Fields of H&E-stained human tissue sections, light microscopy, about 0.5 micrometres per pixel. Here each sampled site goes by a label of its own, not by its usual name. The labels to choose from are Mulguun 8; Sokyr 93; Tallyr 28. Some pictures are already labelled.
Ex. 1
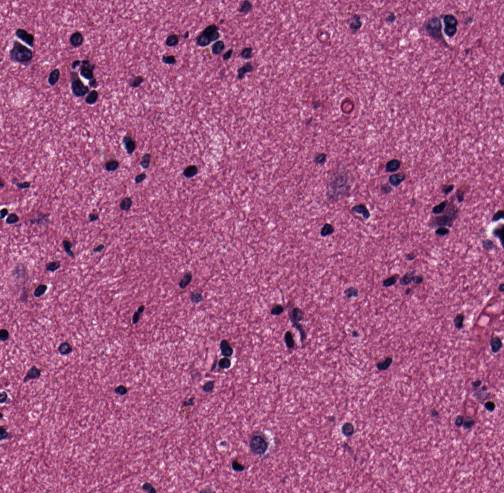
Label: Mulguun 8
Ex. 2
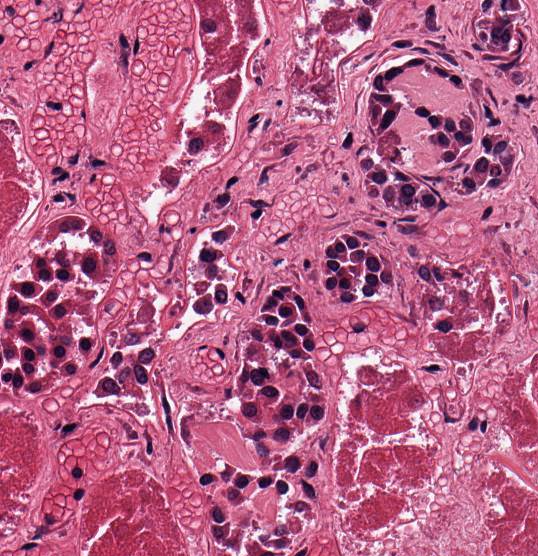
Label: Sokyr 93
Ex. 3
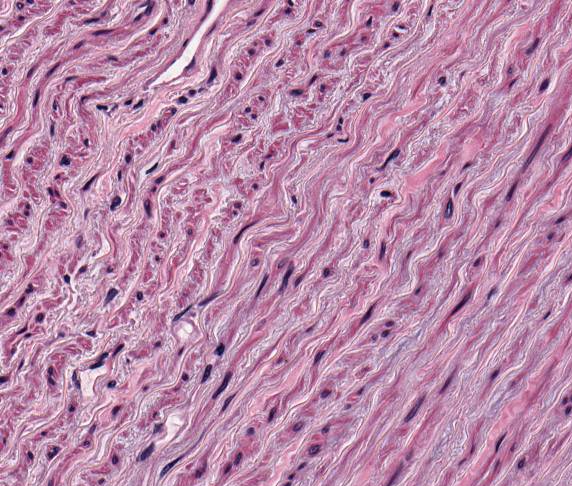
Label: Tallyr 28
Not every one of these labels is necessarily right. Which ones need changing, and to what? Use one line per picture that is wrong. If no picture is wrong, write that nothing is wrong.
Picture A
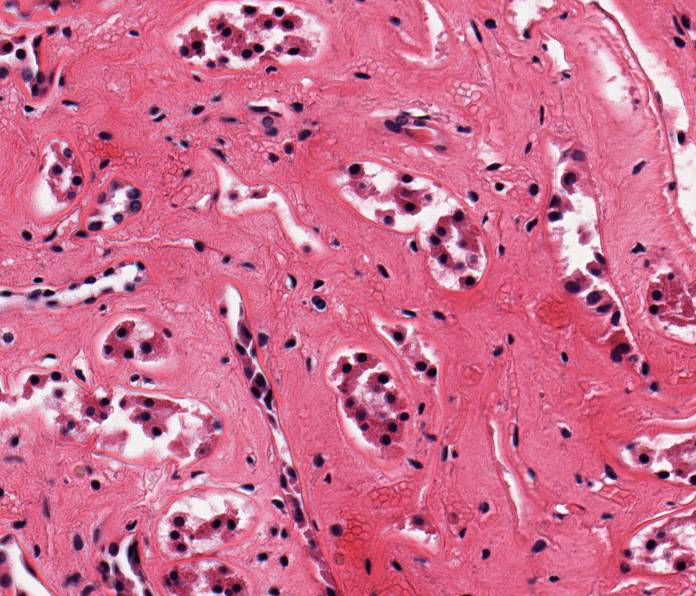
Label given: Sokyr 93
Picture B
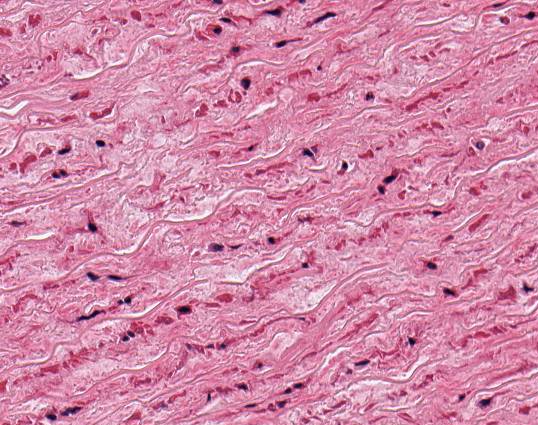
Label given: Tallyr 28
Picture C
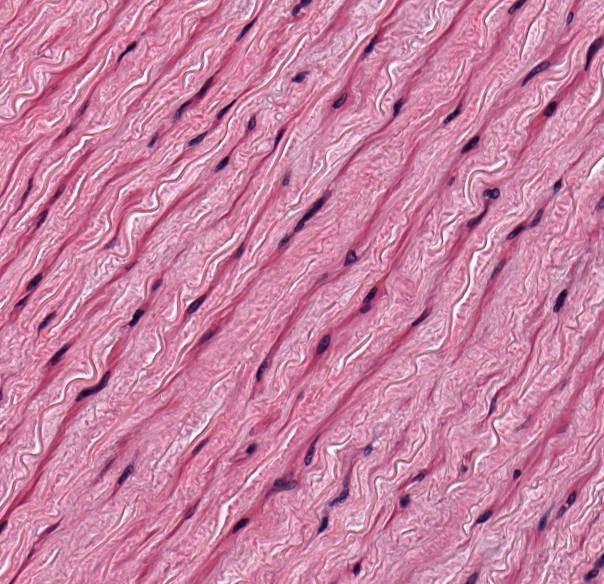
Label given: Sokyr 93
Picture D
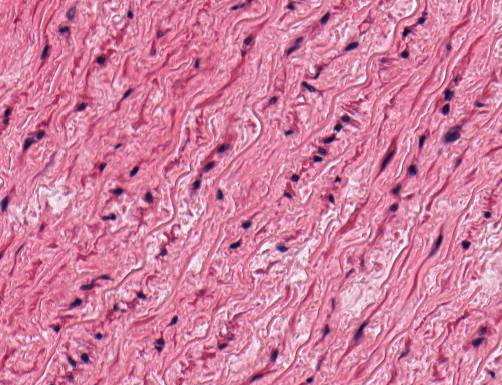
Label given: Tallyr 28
Wrong: C (Sokyr 93); correct: Tallyr 28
